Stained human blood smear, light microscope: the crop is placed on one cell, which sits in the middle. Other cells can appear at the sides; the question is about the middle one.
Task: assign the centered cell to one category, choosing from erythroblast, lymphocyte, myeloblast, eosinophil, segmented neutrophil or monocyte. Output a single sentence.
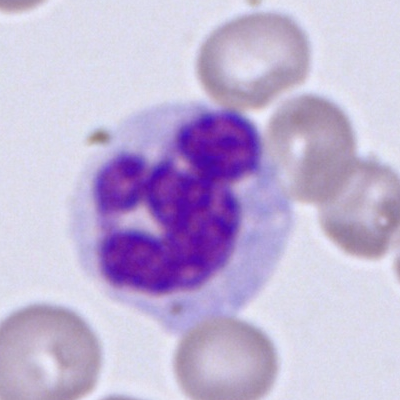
By type, the central cell of the crop is a monocyte.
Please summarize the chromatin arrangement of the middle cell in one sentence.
The chromatin of this one is coarsely clumped.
